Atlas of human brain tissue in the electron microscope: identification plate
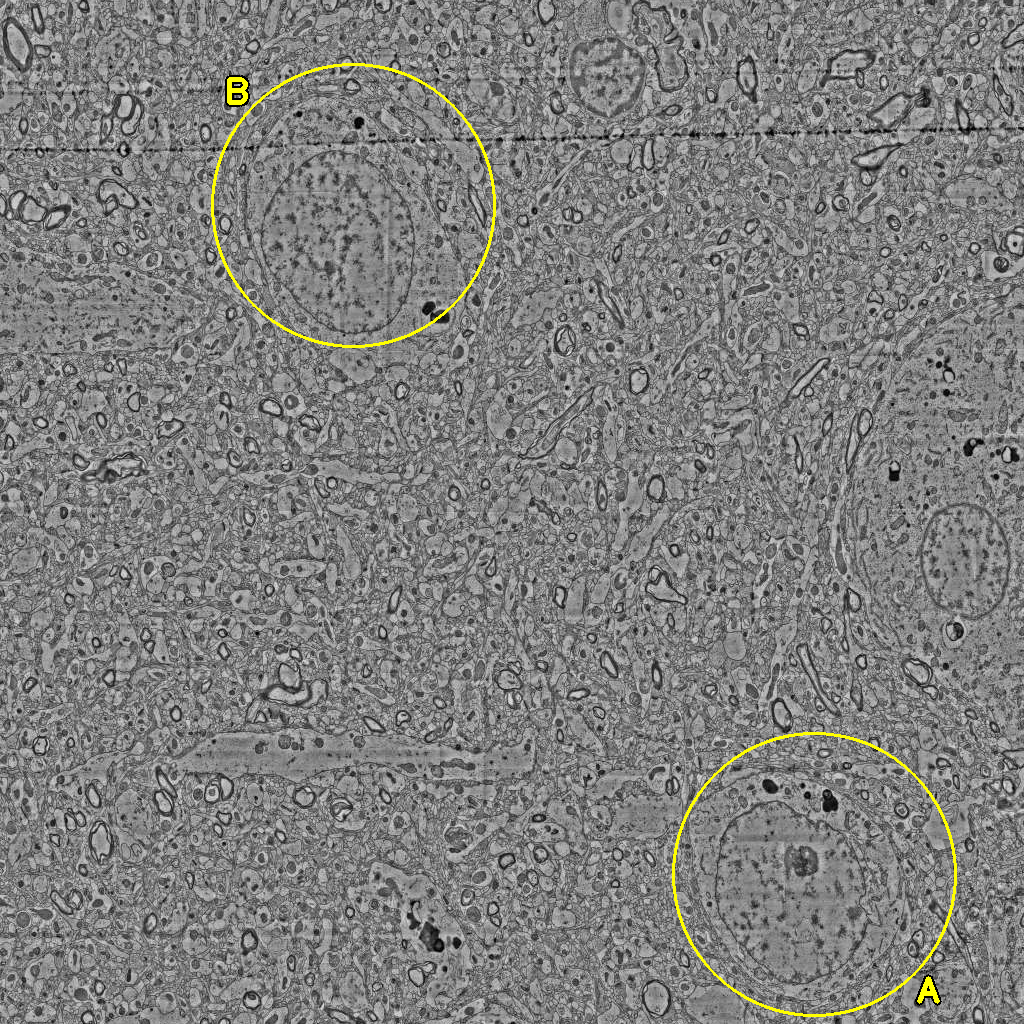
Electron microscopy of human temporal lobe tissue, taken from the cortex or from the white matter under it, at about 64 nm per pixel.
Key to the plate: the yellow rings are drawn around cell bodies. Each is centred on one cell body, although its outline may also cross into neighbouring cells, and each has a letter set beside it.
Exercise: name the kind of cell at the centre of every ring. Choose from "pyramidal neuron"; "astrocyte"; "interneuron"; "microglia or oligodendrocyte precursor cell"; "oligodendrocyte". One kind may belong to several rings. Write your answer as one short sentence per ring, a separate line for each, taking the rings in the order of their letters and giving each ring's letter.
The centre of ring A is occupied by a pyramidal neuron.
The centre of ring B is occupied by a pyramidal neuron.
